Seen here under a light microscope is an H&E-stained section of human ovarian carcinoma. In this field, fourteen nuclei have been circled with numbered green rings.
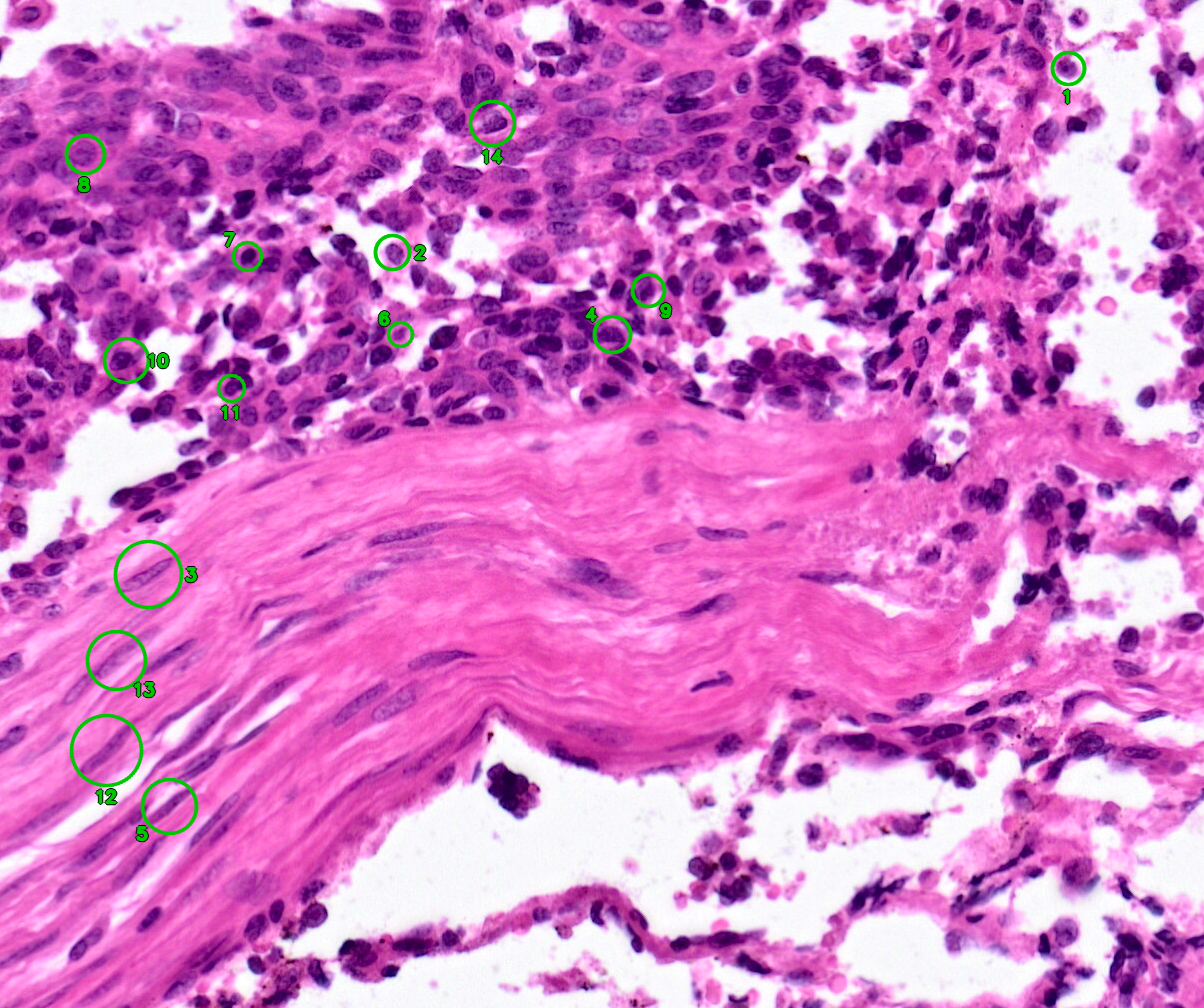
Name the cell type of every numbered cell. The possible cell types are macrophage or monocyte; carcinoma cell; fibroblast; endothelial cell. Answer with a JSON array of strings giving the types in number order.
["carcinoma cell", "macrophage or monocyte", "fibroblast", "carcinoma cell", "fibroblast", "macrophage or monocyte", "carcinoma cell", "carcinoma cell", "carcinoma cell", "carcinoma cell", "carcinoma cell", "fibroblast", "fibroblast", "carcinoma cell"]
